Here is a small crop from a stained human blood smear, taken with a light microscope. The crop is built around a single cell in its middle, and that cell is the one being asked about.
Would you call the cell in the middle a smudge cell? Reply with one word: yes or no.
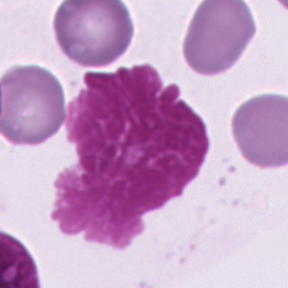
yes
